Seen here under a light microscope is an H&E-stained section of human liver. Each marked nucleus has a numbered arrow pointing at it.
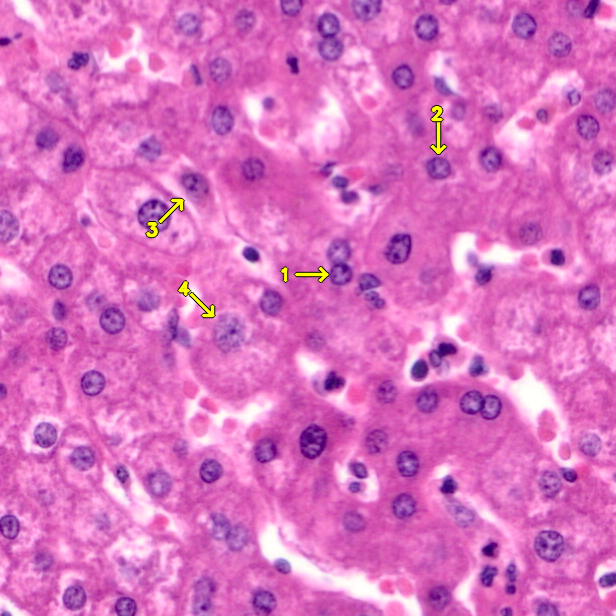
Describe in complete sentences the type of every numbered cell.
Cells 1, 2 and 4 are hepatocytes. Cell 3 is a Kupffer cell.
